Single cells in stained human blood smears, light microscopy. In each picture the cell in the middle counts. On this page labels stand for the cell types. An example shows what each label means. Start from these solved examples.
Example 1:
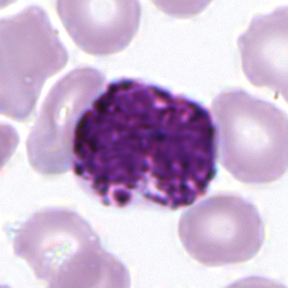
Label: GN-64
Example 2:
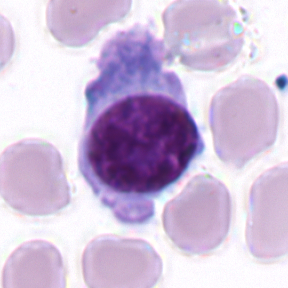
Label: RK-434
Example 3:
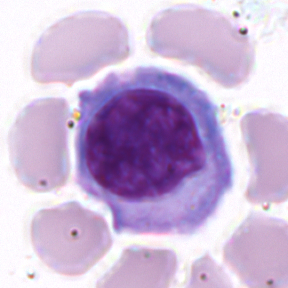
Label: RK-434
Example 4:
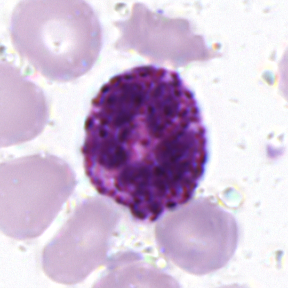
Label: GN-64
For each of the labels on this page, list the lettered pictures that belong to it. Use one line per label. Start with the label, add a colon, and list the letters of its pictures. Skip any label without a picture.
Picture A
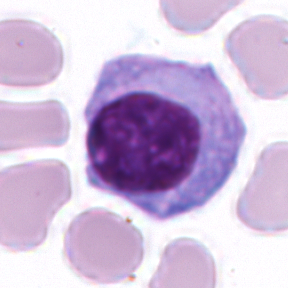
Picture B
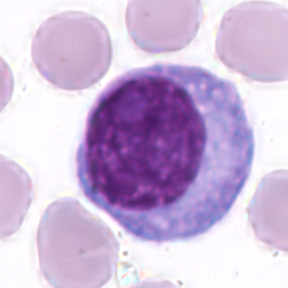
RK-434: A, B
